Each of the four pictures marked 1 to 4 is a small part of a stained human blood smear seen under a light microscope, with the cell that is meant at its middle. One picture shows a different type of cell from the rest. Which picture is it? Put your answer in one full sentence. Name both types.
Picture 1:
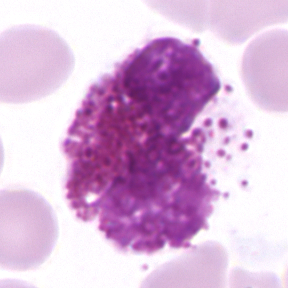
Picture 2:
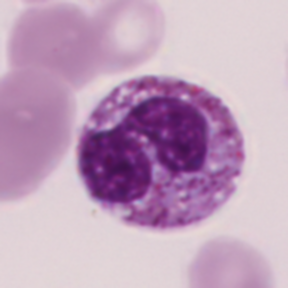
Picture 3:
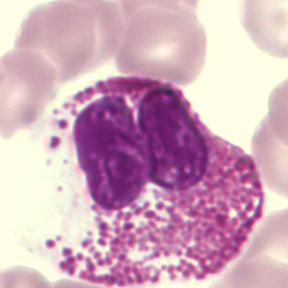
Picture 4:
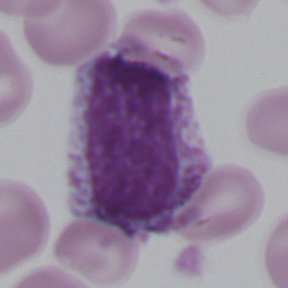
All pictures except 4 show eosinophils; picture 4 shows a myelocyte.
